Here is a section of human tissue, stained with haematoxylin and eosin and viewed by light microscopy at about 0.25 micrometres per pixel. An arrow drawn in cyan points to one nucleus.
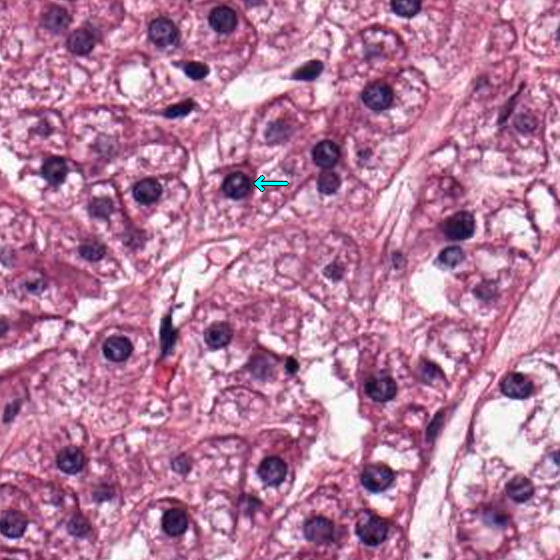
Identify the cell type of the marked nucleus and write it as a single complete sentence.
In this picture, the marked nucleus belongs to an adrenal cortical cell.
